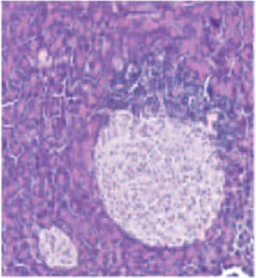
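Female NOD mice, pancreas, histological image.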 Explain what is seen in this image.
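This is a pancreatic islet, seen as a round, pale pink cluster of cells set in darker purple glandular tissue. Along its upper edge lies a crowded band of small cells with dark, round nuclei and scant cytoplasm.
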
